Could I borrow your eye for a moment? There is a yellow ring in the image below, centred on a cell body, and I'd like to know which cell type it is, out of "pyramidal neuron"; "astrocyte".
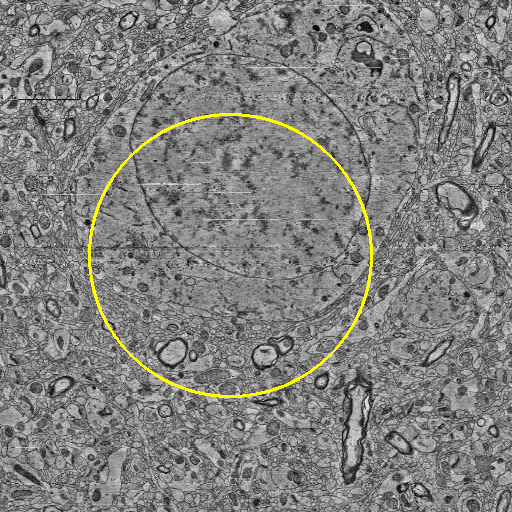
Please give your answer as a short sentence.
The cell body at the centre is that of a pyramidal neuron.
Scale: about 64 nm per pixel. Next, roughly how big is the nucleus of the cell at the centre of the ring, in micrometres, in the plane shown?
The nucleus measures about 15 micrometers across in this plane.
